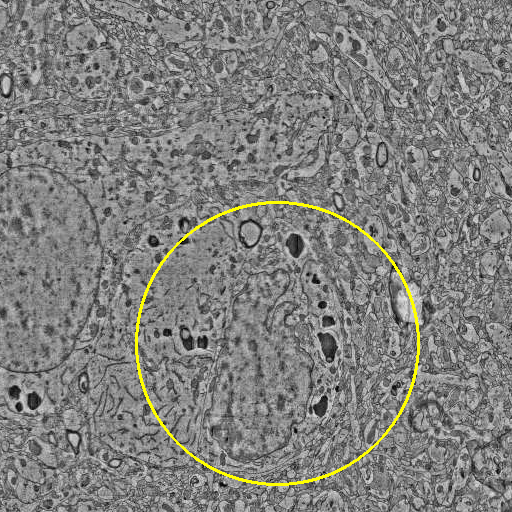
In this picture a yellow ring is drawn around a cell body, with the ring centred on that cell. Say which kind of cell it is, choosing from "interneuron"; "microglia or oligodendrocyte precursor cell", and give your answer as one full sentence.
Here it is an interneuron that sits at the centre of the drawn yellow ring.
